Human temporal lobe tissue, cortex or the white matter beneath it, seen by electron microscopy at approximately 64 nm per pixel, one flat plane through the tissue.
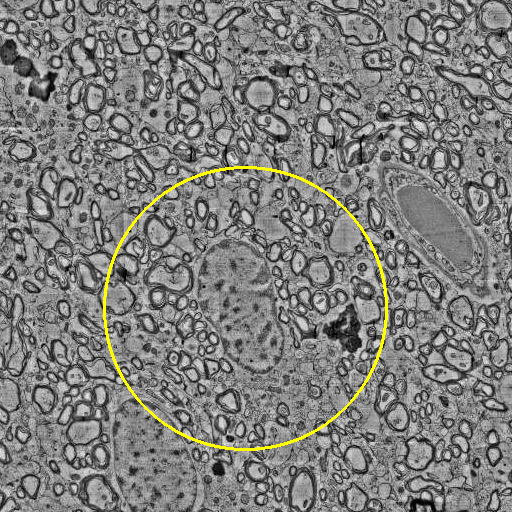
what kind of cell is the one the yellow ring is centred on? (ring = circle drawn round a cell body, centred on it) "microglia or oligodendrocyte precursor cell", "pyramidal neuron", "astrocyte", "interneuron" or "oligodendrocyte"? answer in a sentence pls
The ring is drawn around an oligodendrocyte.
